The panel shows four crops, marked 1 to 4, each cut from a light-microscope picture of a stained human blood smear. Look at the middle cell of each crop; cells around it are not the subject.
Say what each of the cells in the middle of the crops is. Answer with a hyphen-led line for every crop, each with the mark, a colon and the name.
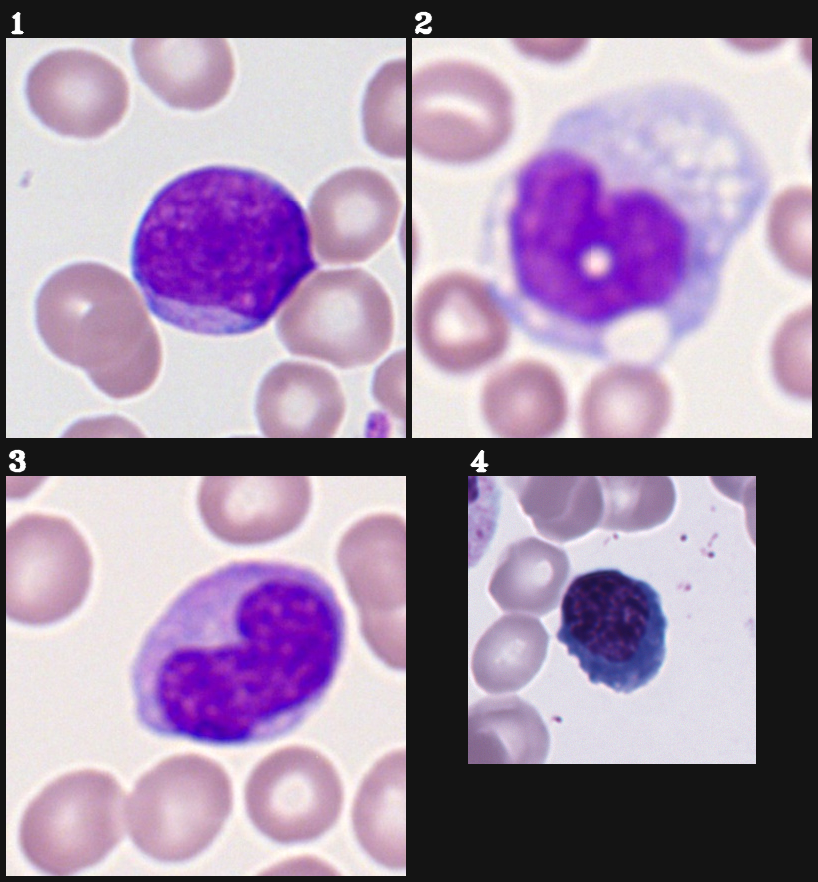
- 1: blast
- 2: monocyte
- 3: monocyte
- 4: erythroblast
